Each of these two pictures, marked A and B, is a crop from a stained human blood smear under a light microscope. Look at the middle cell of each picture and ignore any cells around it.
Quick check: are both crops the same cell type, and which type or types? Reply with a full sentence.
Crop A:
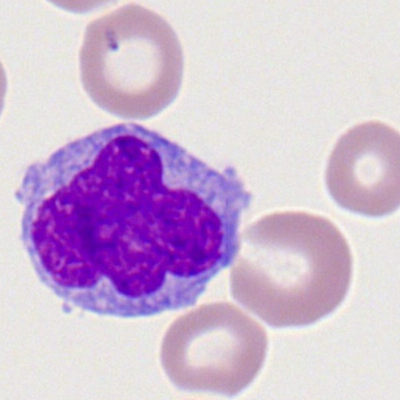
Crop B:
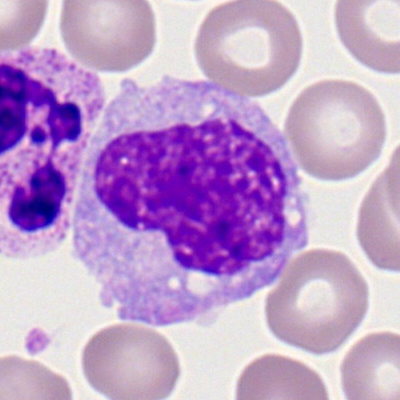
Yes, for both crops, the central cells are monocytes.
